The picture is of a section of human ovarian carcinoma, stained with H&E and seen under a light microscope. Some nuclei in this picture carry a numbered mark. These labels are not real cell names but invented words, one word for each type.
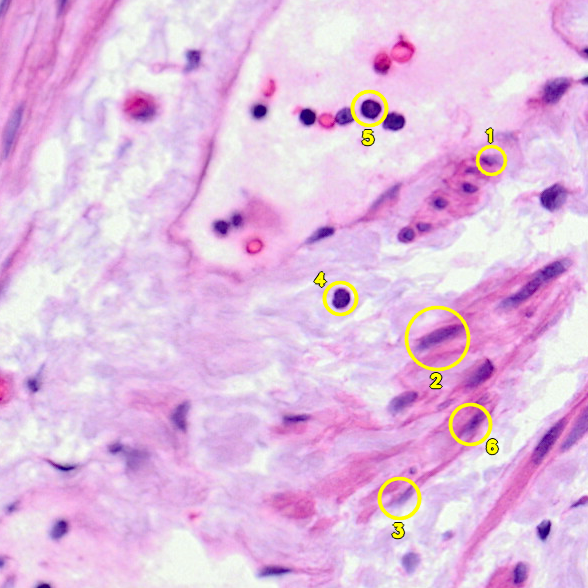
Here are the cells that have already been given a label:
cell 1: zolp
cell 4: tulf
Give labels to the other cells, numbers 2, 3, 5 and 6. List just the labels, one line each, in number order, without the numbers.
zolp
zolp
tulf
zolp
